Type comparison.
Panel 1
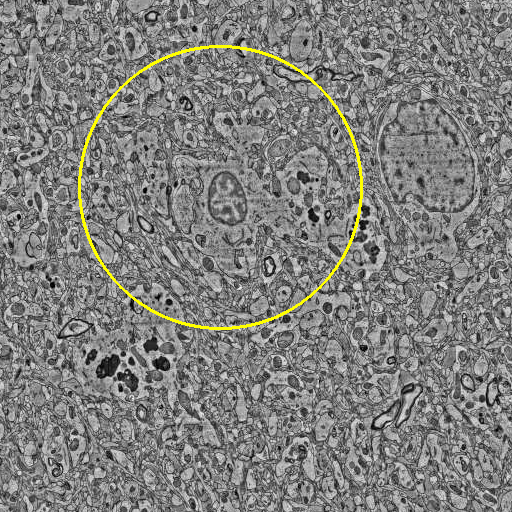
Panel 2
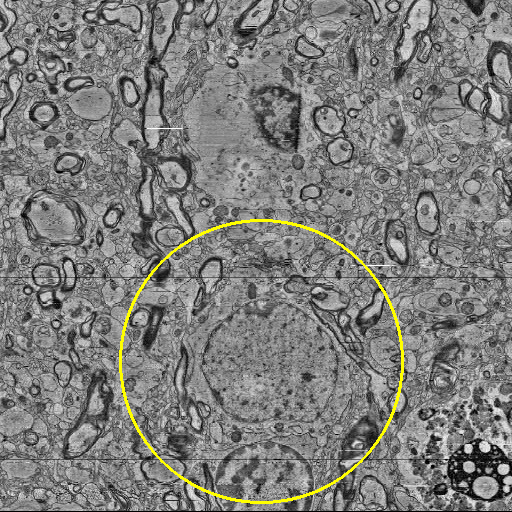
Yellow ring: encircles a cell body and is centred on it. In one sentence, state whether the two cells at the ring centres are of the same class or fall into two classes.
In these panels, the two cells at the ring centres are of the same class.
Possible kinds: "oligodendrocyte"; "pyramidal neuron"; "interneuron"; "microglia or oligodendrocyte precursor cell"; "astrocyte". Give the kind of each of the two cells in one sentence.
The ring centre holds an astrocyte in each of the two pictures.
